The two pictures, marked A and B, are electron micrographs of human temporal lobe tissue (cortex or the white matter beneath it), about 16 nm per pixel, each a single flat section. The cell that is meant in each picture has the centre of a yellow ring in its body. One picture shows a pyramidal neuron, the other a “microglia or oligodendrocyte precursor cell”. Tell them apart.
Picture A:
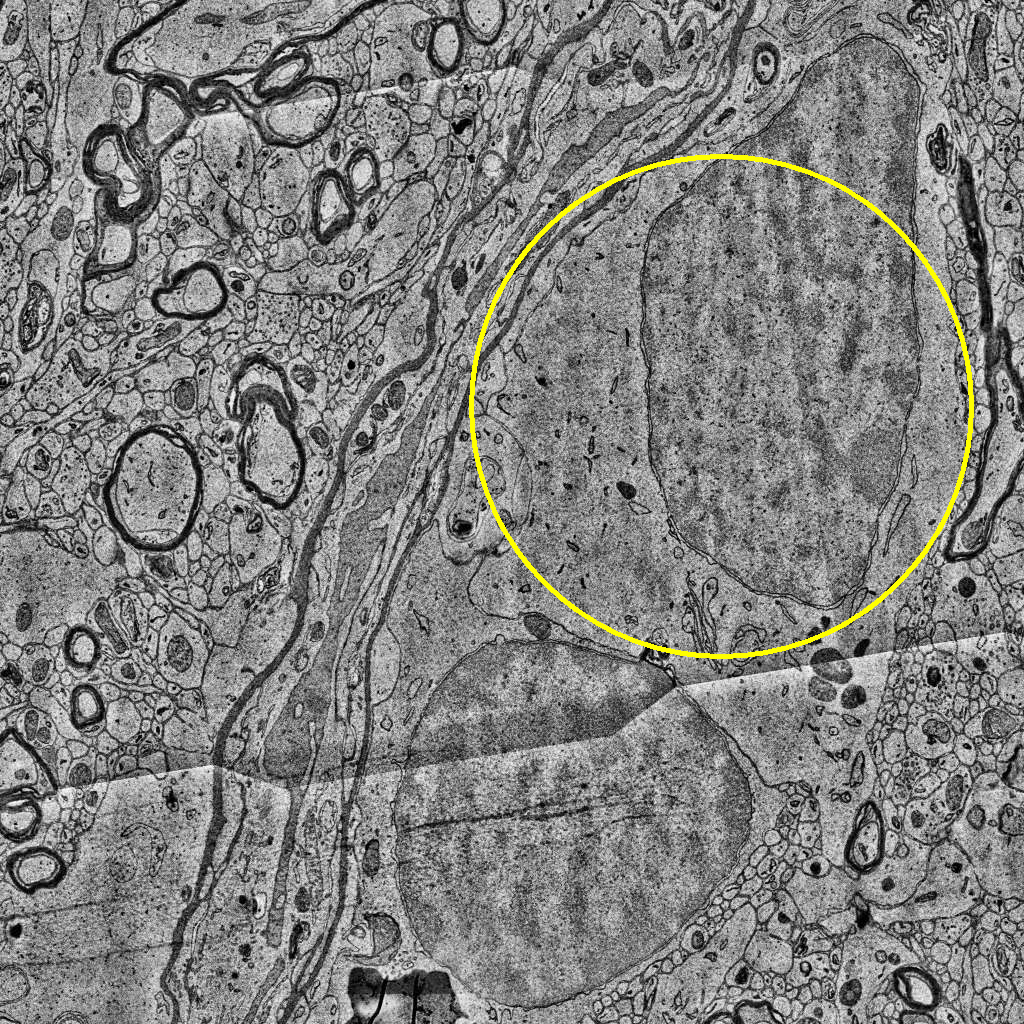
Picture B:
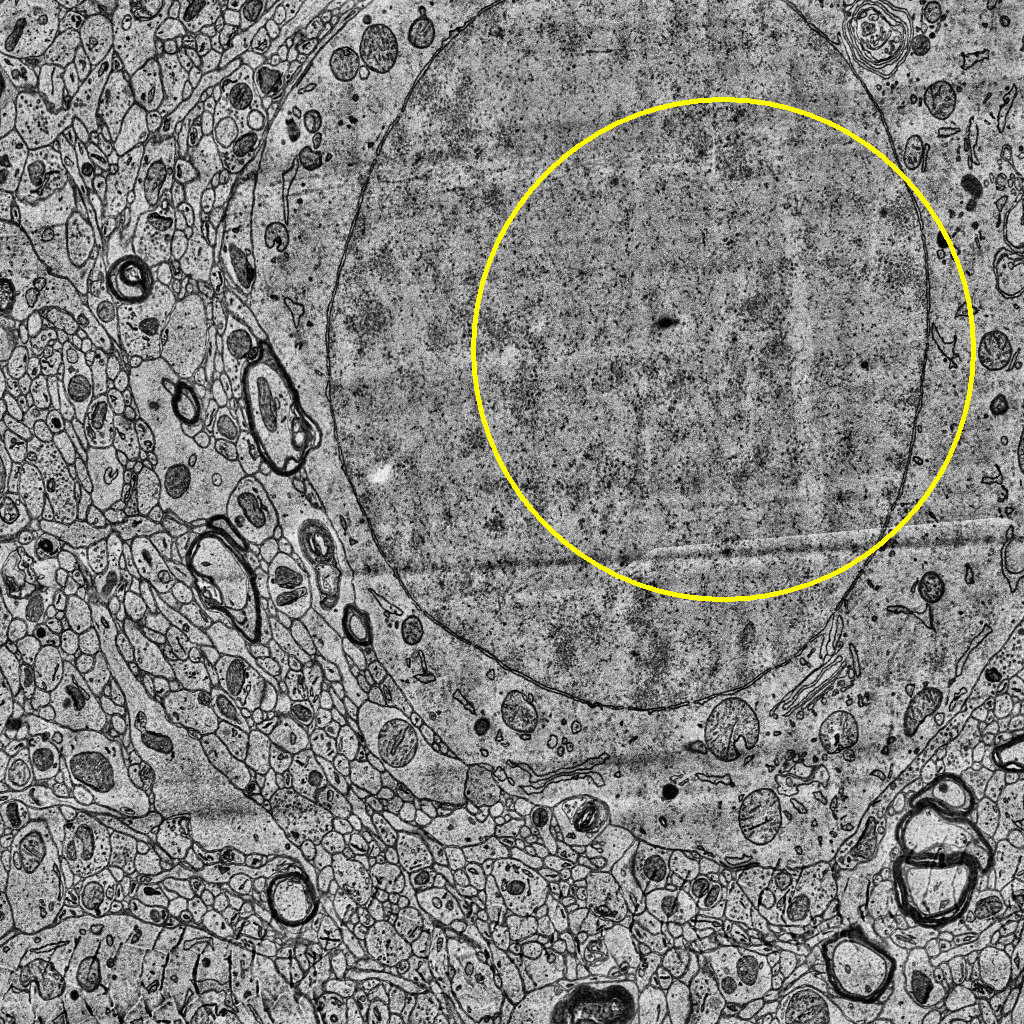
Picture A shows a “microglia or oligodendrocyte precursor cell” and picture B shows a pyramidal neuron.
